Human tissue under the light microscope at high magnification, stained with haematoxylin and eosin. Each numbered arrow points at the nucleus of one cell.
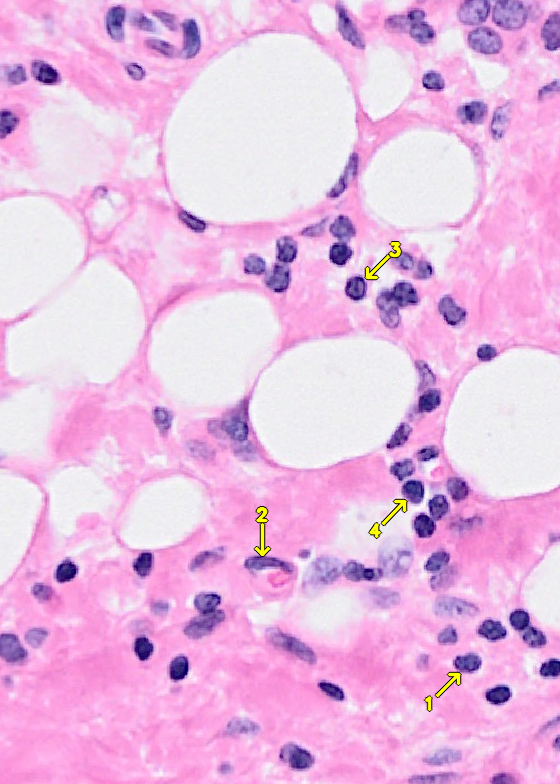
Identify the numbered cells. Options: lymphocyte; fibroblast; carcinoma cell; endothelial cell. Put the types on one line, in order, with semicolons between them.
lymphocyte; endothelial cell; lymphocyte; lymphocyte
